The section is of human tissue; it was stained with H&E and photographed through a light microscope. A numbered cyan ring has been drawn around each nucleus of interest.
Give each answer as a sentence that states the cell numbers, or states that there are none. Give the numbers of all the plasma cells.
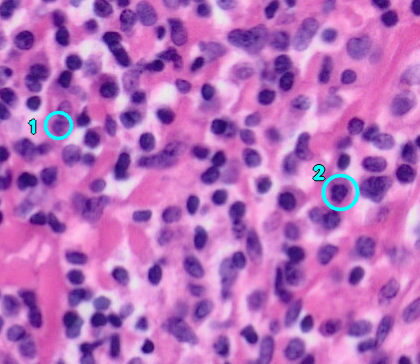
Of those with numbers, only cell 2 is a plasma cell.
